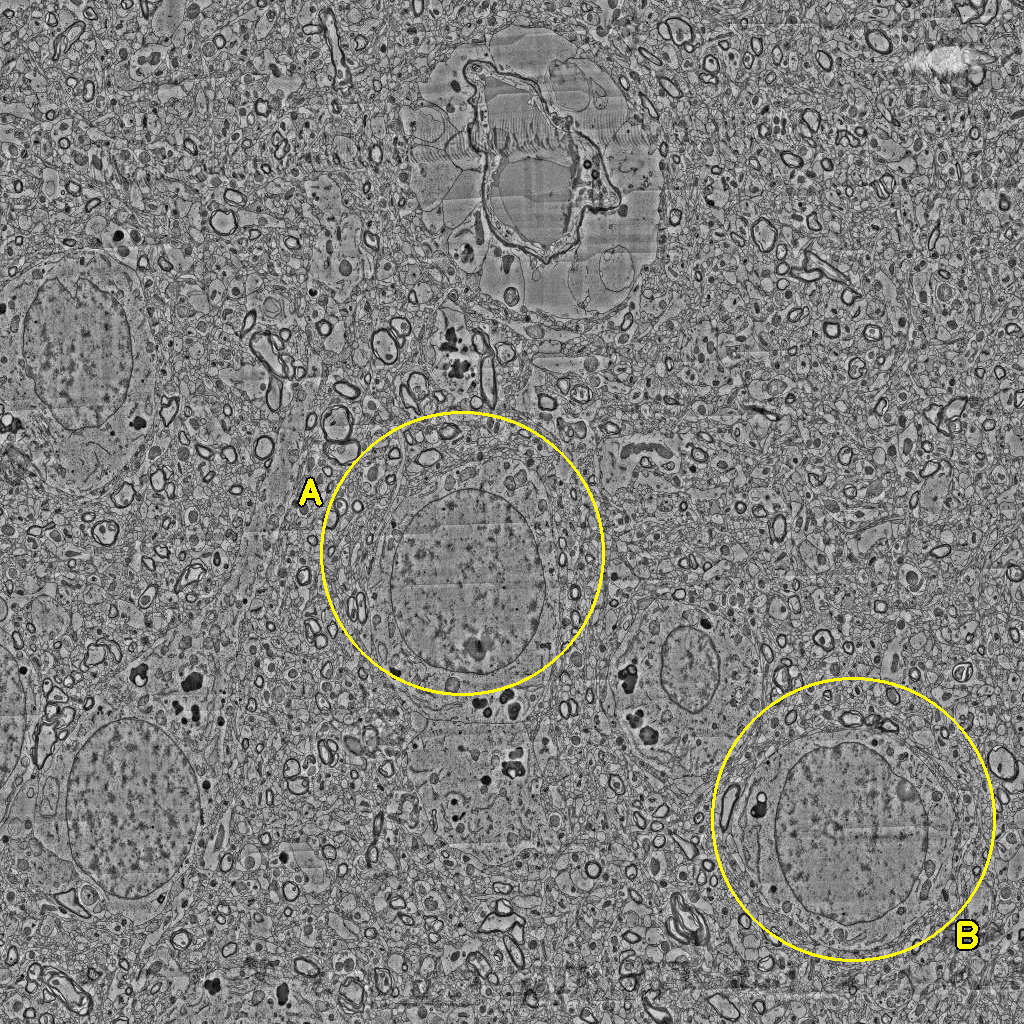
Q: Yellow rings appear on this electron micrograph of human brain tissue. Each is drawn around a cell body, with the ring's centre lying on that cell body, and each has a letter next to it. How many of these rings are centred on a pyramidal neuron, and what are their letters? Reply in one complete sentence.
The rings bearing the letters A and B number two, and each of them is centred on a pyramidal neuron.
